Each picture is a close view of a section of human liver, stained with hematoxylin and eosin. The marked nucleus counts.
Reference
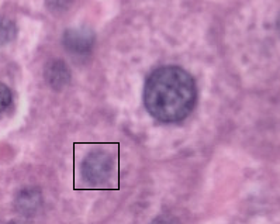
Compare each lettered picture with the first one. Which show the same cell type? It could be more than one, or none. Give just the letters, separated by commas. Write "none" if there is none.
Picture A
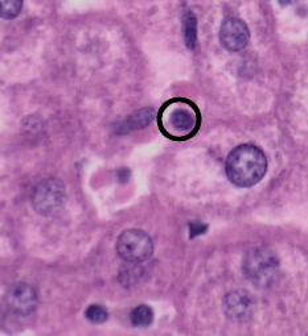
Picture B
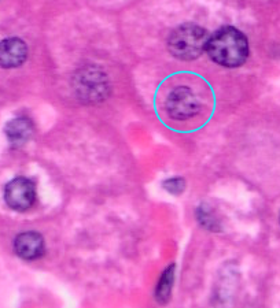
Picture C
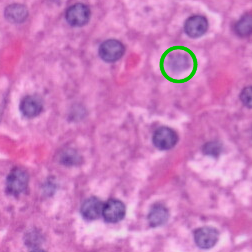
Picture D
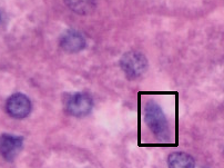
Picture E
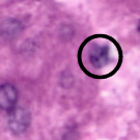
B, C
